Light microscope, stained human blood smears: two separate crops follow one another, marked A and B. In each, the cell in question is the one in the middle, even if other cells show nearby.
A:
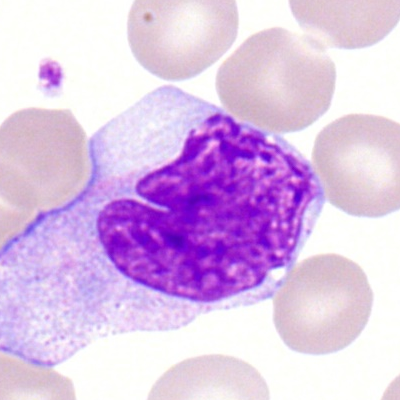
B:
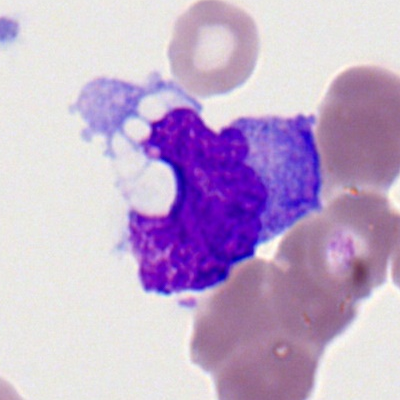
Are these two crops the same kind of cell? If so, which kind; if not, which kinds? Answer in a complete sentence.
Yes, shown in both crops are monocytes.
